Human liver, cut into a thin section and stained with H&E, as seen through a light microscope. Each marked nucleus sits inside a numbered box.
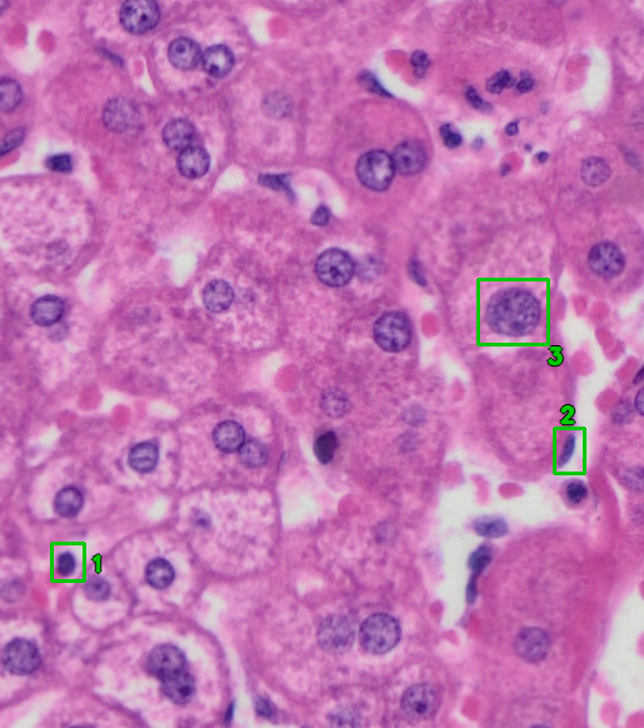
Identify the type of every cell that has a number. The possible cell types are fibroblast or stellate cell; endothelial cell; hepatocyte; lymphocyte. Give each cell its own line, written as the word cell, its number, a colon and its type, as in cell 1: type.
cell 1: lymphocyte
cell 2: endothelial cell
cell 3: hepatocyte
